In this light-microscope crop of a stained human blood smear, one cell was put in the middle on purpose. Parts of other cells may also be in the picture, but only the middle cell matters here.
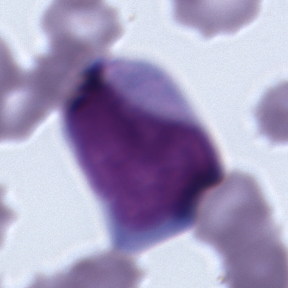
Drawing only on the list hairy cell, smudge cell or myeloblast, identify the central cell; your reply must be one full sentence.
Centred in the crop is a myeloblast.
